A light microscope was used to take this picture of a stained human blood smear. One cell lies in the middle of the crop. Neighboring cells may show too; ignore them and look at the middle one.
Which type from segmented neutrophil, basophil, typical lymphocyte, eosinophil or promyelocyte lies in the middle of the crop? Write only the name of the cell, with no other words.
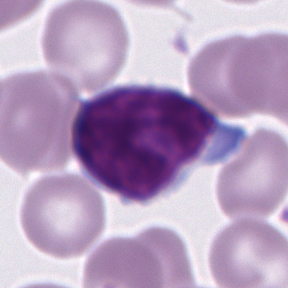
typical lymphocyte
